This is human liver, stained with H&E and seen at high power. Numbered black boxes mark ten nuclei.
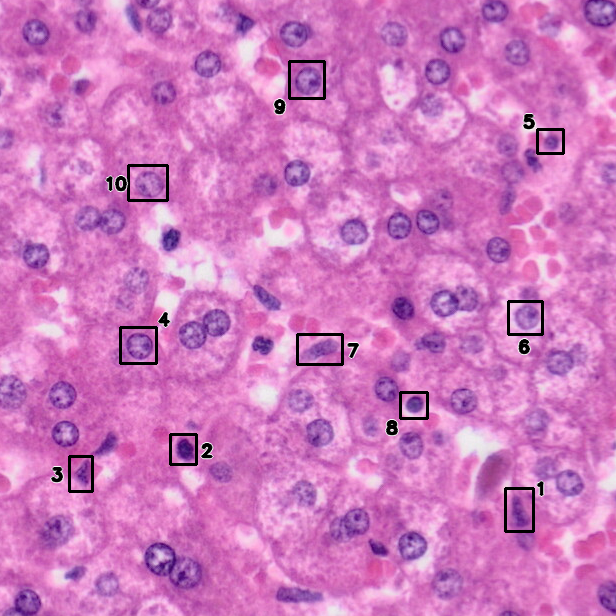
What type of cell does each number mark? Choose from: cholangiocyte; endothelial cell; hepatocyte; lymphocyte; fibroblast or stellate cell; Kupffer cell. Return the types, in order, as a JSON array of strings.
["fibroblast or stellate cell", "lymphocyte", "endothelial cell", "hepatocyte", "lymphocyte", "hepatocyte", "Kupffer cell", "lymphocyte", "hepatocyte", "hepatocyte"]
